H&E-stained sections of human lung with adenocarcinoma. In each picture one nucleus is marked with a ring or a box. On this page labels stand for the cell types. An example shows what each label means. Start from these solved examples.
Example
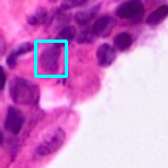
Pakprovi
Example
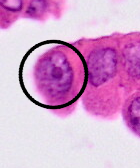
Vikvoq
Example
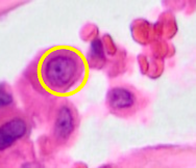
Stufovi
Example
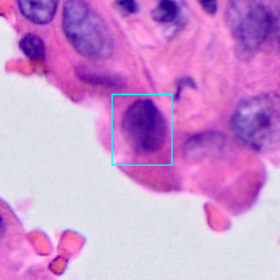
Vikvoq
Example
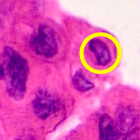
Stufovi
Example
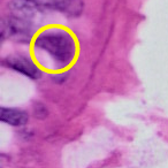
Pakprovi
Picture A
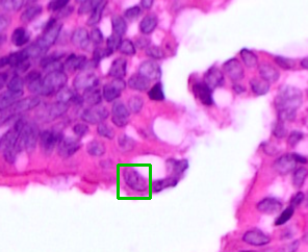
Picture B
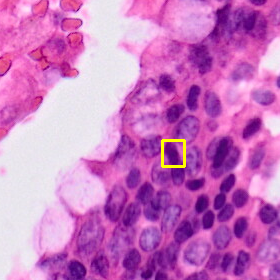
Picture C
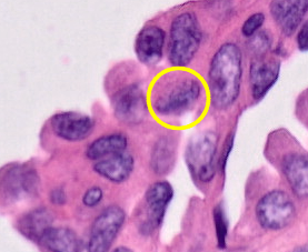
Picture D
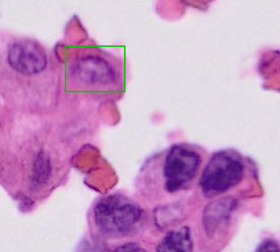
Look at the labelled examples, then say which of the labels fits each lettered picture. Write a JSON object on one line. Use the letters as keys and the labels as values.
{"A": "Pakprovi", "B": "Pakprovi", "C": "Vikvoq", "D": "Stufovi"}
